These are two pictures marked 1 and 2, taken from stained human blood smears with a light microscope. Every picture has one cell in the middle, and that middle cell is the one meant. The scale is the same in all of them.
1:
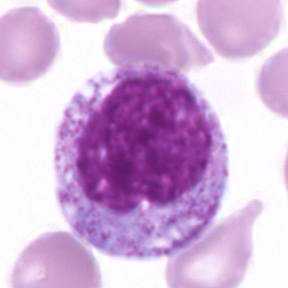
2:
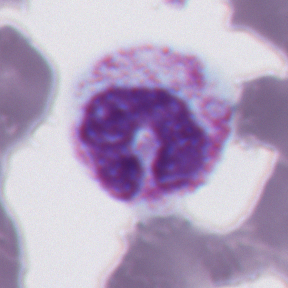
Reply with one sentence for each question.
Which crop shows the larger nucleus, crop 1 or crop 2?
The nucleus in crop 1 is larger, with about 1.5 times the area of the one in crop 2.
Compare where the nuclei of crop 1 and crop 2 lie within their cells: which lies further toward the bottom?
The nucleus in crop 2 lies further toward the bottom of its cell.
